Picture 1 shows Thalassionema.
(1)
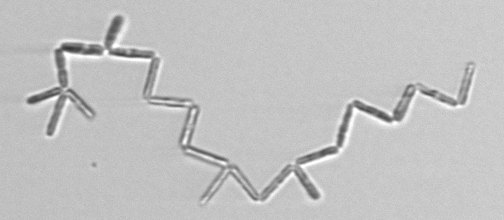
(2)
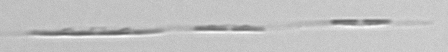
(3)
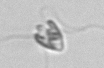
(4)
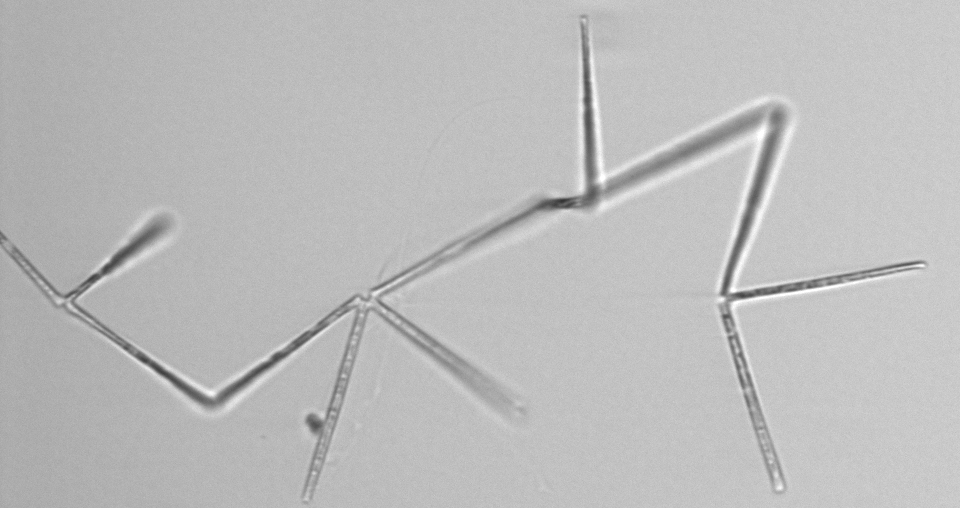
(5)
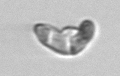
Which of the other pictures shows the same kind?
Picture 4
